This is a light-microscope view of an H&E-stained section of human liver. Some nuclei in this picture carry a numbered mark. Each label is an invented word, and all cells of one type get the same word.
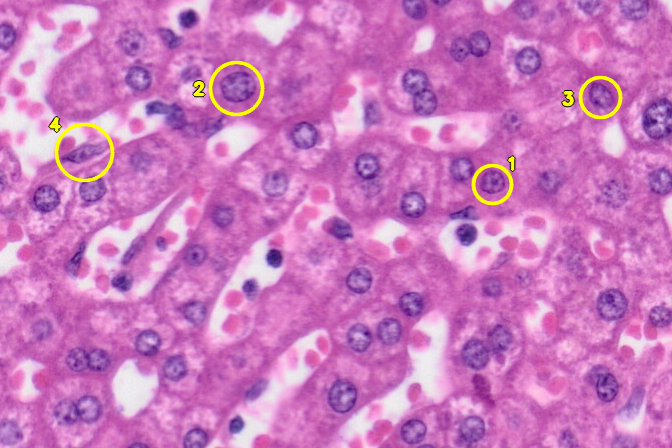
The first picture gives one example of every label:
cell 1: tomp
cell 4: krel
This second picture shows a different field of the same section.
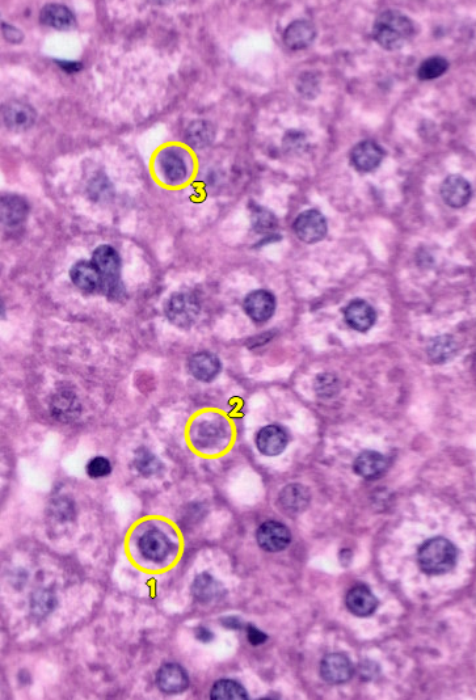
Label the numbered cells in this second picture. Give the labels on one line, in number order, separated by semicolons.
tomp; tomp; krel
